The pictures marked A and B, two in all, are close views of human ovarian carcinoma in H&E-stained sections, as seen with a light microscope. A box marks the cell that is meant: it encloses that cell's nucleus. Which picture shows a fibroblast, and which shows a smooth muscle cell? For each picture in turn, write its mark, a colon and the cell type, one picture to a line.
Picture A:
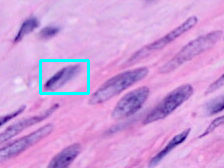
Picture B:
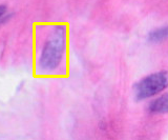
A: fibroblast
B: smooth muscle cell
